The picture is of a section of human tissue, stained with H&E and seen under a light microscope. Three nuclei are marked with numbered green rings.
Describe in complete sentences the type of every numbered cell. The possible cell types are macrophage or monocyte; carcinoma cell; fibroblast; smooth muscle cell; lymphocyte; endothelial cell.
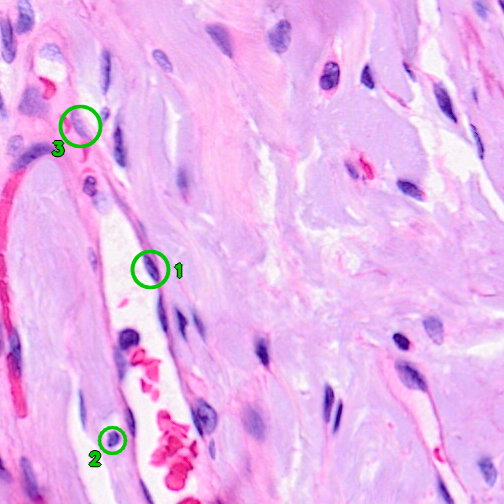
Cells 1 and 3 are endothelial cells. Cell 2 is a lymphocyte.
